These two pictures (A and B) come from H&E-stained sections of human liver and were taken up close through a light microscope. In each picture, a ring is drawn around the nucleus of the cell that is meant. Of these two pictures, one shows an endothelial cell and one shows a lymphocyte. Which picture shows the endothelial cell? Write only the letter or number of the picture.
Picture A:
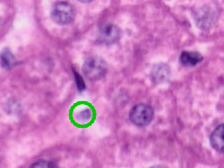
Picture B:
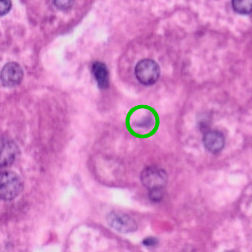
B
